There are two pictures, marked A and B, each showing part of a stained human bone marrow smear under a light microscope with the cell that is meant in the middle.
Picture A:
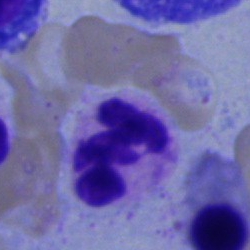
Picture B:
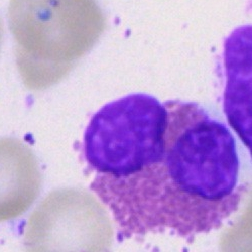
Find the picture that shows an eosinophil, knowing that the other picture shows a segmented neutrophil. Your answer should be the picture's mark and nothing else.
B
